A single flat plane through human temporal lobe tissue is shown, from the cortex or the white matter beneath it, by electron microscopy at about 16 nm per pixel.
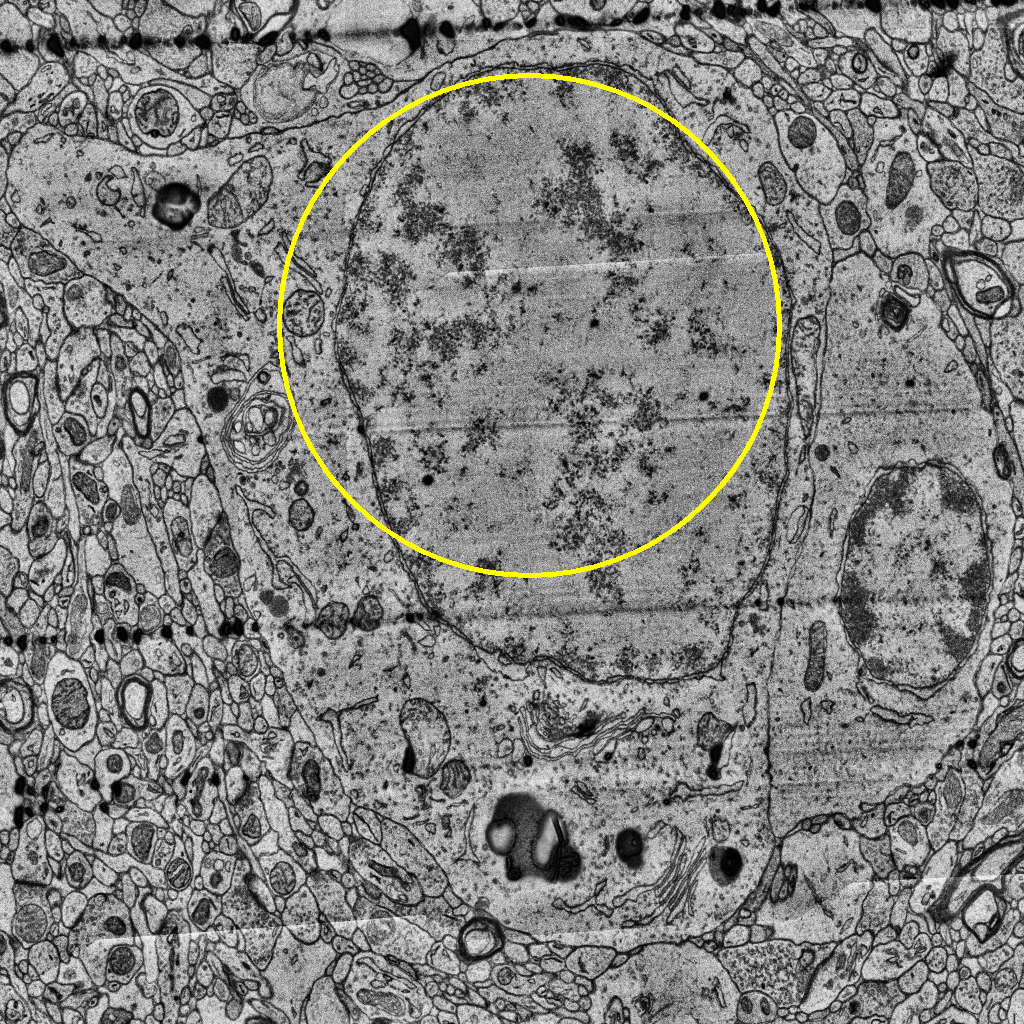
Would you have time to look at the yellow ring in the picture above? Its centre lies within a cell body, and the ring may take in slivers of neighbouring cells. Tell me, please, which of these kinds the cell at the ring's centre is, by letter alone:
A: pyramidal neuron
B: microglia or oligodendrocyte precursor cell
A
